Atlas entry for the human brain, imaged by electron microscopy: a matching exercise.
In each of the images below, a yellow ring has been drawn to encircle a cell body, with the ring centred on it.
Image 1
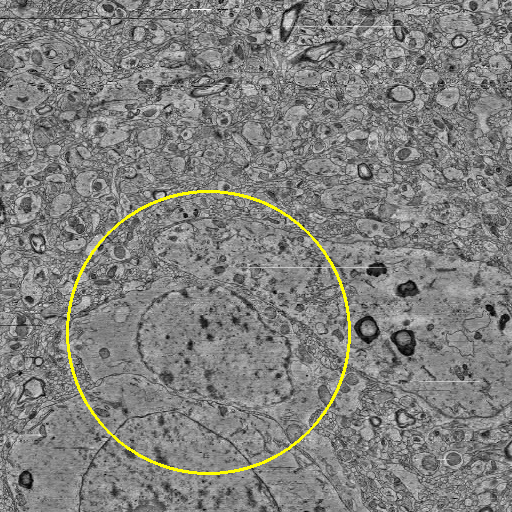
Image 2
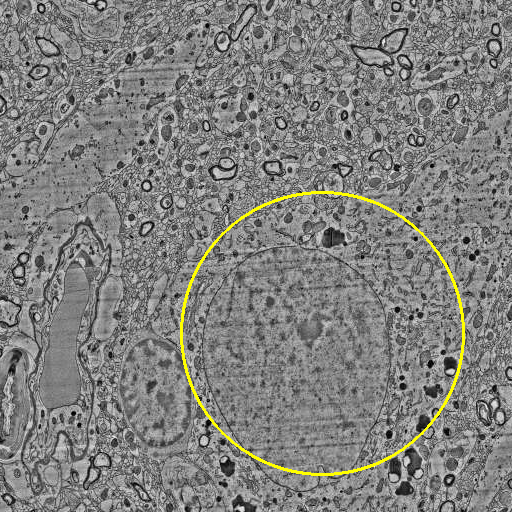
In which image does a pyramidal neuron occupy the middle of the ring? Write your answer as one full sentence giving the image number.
In image 2, the ring is centred on the cell in question.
